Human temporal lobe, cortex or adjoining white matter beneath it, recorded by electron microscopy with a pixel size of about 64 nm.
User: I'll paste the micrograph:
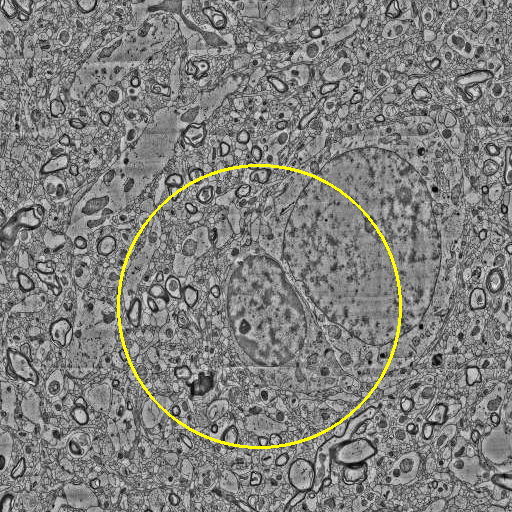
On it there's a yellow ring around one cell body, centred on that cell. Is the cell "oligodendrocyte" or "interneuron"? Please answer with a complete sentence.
The cell ringed in yellow is an oligodendrocyte.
